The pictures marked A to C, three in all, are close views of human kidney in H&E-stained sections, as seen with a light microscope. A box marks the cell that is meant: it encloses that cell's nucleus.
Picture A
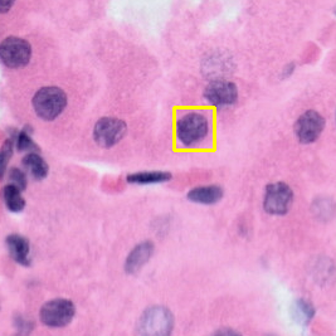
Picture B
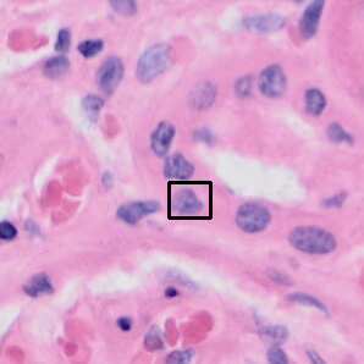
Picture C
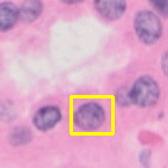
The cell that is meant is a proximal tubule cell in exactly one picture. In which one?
A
